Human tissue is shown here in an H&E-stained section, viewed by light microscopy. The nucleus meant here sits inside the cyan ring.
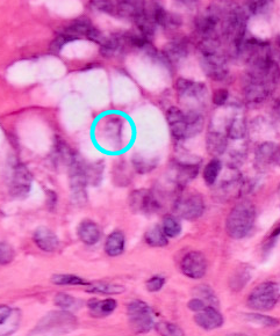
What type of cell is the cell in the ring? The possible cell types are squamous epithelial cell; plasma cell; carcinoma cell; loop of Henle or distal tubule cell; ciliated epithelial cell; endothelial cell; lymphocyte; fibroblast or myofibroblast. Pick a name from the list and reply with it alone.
ciliated epithelial cell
